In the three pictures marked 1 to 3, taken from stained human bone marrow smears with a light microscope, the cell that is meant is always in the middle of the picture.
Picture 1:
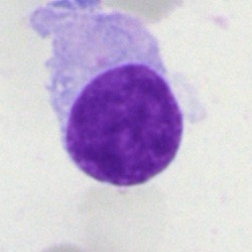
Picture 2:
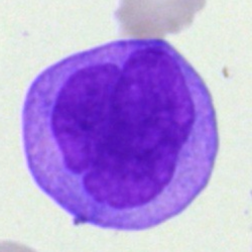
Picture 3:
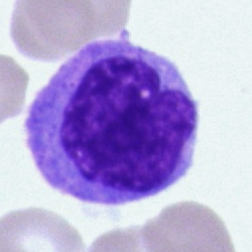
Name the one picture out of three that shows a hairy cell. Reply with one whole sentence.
It is picture 1 that shows the hairy cell.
